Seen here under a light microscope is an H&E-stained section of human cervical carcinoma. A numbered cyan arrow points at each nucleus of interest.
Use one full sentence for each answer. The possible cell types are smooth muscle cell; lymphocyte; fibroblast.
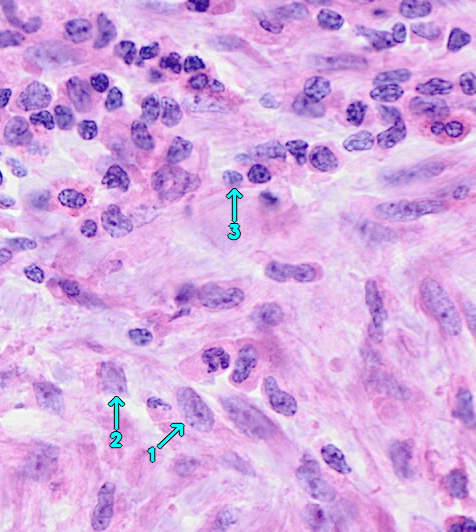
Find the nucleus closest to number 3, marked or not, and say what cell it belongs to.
The nearest nucleus to number 3 belongs to a lymphocyte.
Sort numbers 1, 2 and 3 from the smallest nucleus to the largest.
Smallest first, the nuclei run 3, 2, 1.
